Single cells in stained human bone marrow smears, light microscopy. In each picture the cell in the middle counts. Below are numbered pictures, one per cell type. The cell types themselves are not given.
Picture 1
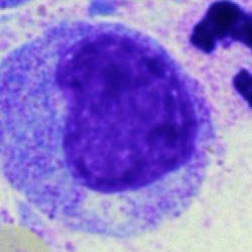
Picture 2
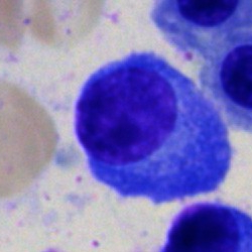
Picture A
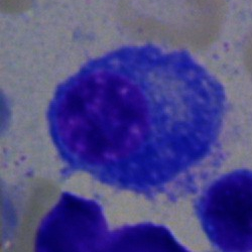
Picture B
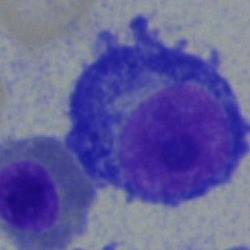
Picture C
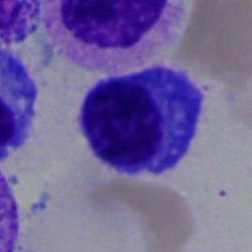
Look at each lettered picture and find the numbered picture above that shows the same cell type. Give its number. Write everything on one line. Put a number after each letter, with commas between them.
A 2, B 2, C 2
